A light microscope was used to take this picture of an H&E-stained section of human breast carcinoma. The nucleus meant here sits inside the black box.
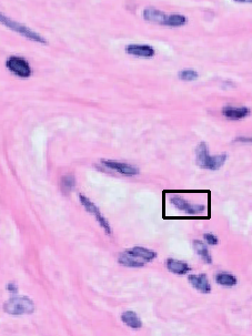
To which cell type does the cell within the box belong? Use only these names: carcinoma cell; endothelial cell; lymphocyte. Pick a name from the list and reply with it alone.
endothelial cell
